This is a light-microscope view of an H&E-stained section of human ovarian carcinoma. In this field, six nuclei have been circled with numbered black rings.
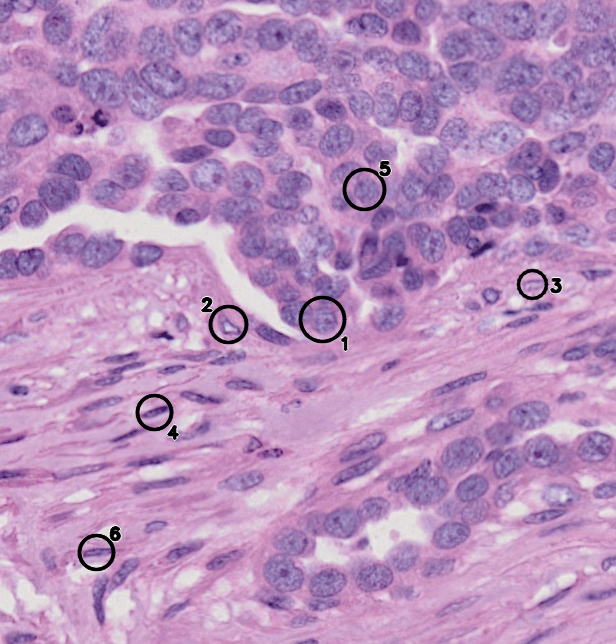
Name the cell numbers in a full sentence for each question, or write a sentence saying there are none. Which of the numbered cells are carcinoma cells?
The cells that have numbers 1 and 5 are carcinoma cells.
